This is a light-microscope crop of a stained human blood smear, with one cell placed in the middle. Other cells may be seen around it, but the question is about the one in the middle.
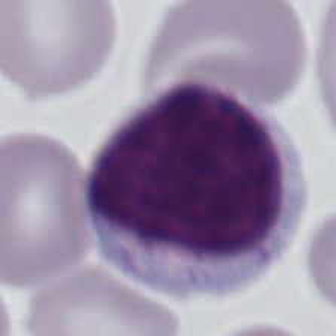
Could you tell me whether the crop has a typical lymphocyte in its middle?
no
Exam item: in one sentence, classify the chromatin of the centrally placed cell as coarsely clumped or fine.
In this nucleus, the chromatin is arranged in coarse clumps.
